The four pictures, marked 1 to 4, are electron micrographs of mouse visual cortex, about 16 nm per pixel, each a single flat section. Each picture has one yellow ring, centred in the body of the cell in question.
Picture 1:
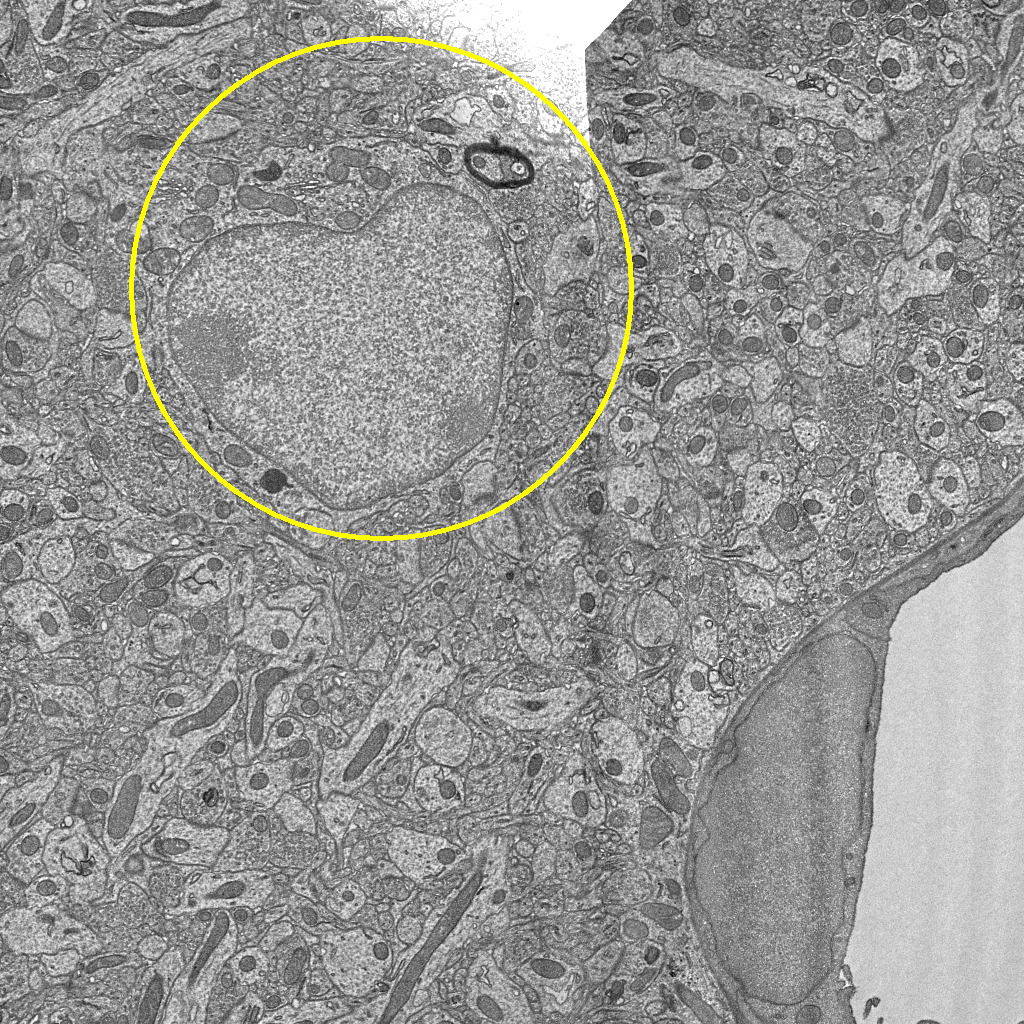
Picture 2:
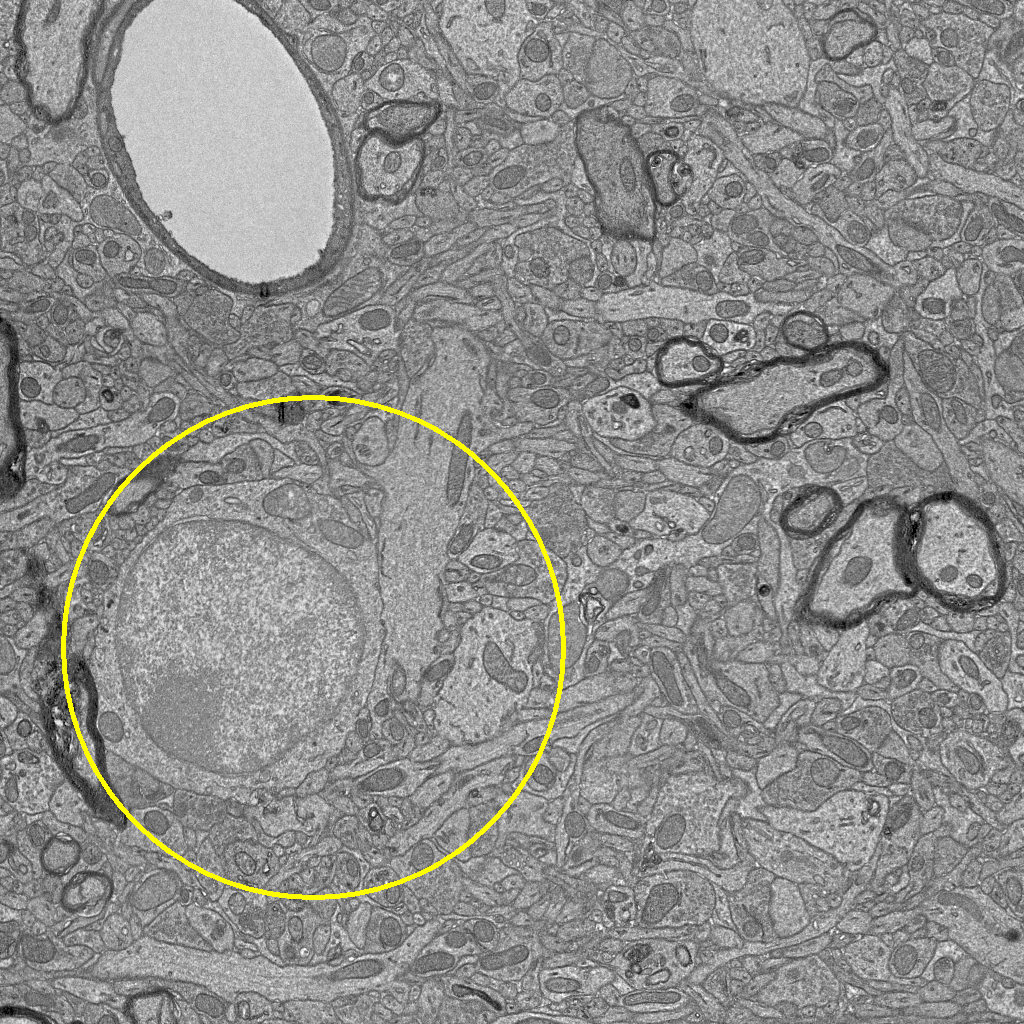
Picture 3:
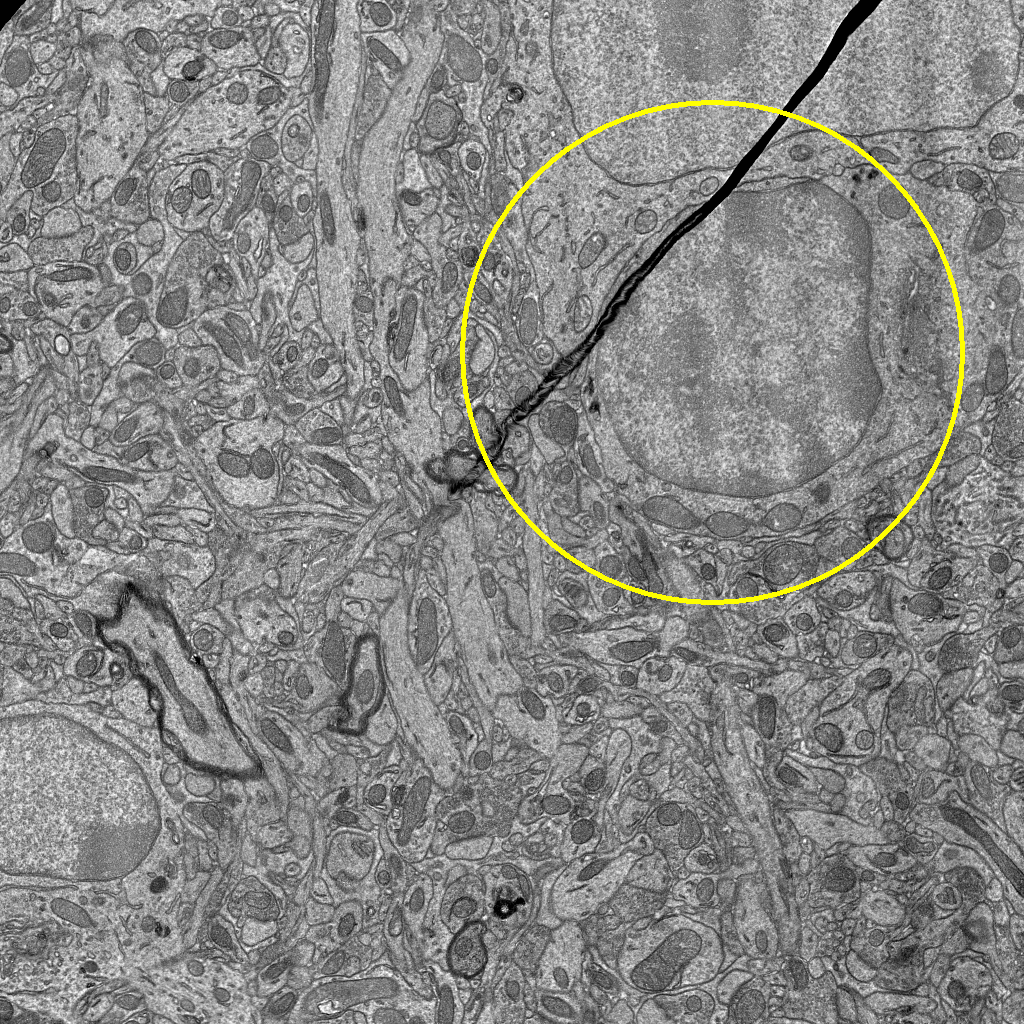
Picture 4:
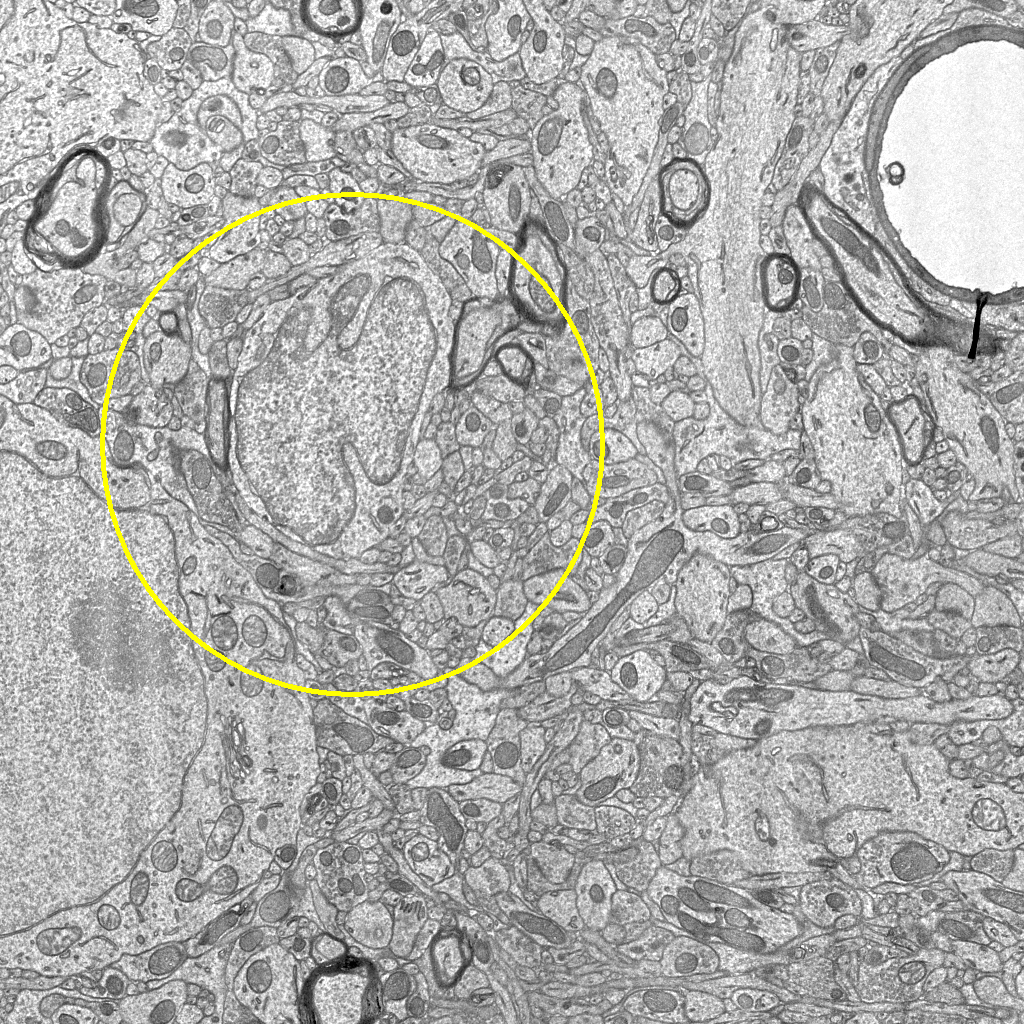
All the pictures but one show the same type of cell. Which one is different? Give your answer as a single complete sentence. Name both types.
The different one is picture 1; it shows an astrocyte, whereas all the others show oligodendrocytes.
